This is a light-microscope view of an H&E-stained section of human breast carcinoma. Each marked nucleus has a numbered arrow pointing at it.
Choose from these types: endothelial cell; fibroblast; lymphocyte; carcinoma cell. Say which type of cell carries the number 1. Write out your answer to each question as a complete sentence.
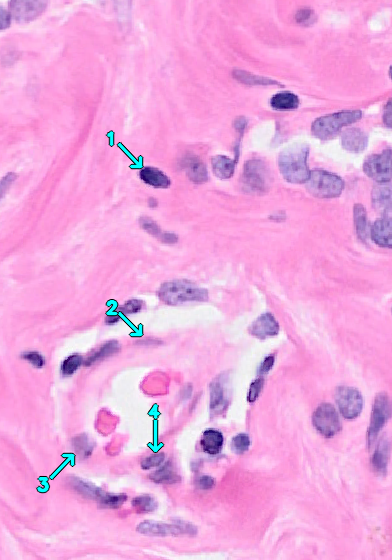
Cell 1, as marked in the section, is a lymphocyte.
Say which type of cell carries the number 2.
The cell with the number 2 is an endothelial cell.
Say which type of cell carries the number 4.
The cell that goes by number 4 is an endothelial cell.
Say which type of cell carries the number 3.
The cell whose nucleus carries the number 3 is an endothelial cell.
